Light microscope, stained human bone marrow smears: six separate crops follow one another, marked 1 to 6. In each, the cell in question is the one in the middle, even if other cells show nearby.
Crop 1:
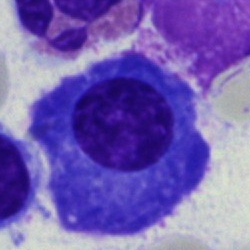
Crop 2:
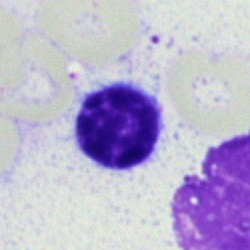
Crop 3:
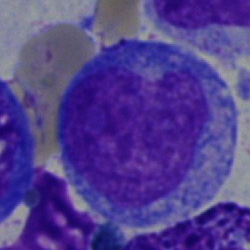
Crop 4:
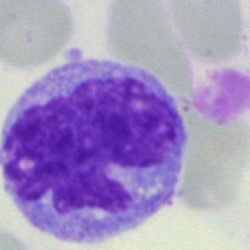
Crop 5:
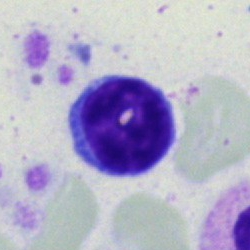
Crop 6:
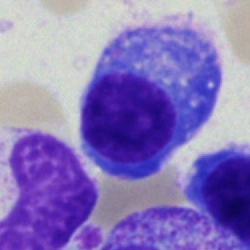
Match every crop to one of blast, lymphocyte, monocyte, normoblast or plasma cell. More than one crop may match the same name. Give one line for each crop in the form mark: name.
1: plasma cell
2: lymphocyte
3: blast
4: monocyte
5: lymphocyte
6: plasma cell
